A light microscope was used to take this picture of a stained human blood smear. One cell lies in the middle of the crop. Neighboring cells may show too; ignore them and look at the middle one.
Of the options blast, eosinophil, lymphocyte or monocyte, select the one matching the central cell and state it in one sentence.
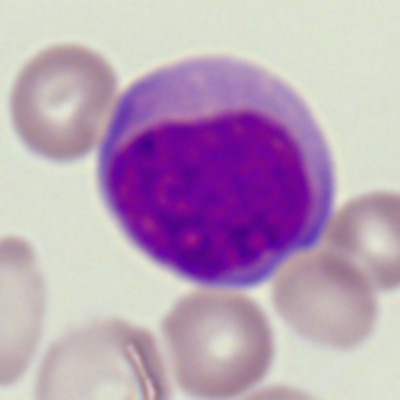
The cell around which this crop is centred is a blast.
